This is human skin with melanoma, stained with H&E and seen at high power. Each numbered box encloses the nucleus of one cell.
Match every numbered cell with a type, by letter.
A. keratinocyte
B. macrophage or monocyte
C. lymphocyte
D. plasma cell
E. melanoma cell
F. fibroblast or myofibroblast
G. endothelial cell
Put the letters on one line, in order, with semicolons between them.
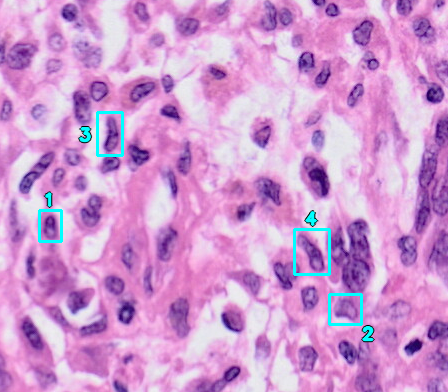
B; E; B; B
